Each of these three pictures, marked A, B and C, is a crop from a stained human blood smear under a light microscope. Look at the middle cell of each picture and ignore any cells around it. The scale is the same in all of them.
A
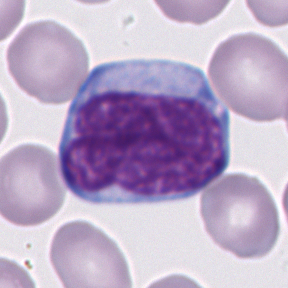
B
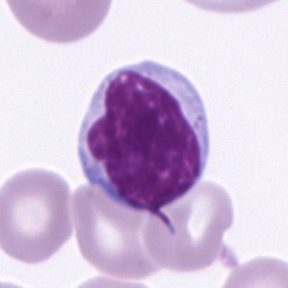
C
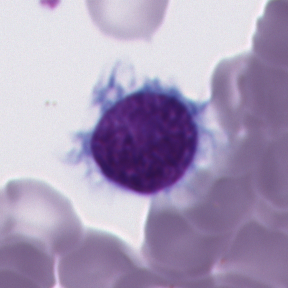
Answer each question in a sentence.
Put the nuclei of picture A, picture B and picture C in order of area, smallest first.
From the smallest up, the order is C, B, A.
